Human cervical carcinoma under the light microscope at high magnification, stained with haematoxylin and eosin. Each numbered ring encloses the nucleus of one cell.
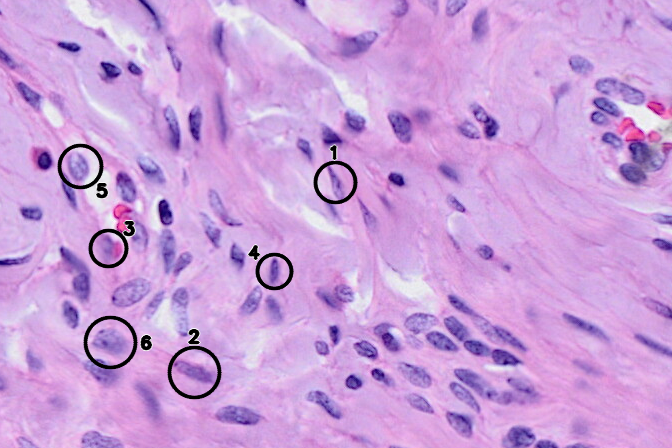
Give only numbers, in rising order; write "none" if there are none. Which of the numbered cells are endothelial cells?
3, 5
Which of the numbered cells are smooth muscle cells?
2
